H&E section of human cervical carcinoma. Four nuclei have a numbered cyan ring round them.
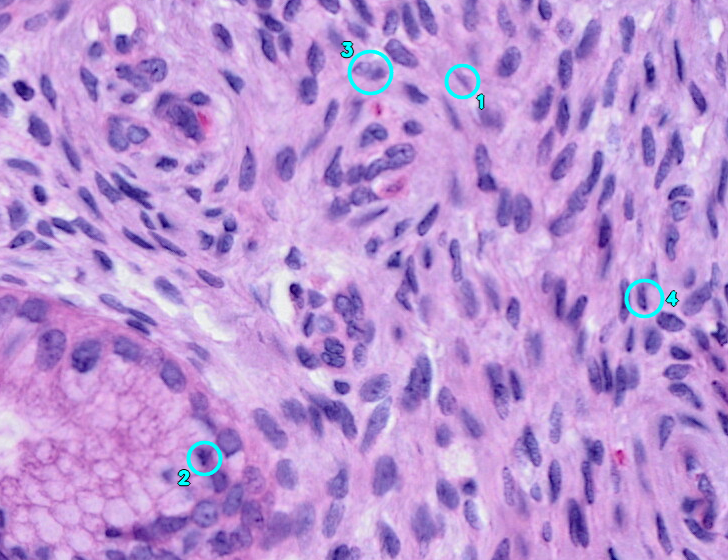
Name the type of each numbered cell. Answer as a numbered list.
1. fibroblast
2. secretory epithelial cell
3. fibroblast
4. fibroblast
